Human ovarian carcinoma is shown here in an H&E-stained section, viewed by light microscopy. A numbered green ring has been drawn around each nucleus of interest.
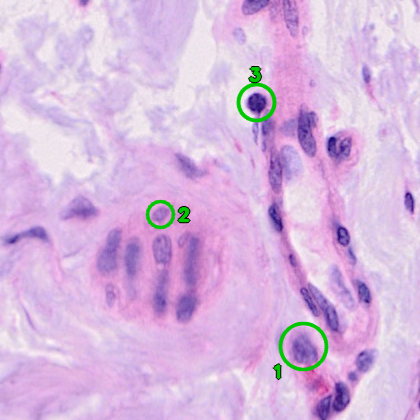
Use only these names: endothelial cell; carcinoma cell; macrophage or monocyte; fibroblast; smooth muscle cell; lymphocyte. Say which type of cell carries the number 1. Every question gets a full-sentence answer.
Identified by the number 1, the cell is an endothelial cell.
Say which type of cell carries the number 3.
Cell 3 is classified as a lymphocyte.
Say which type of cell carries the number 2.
That cell with number 2 is a smooth muscle cell.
